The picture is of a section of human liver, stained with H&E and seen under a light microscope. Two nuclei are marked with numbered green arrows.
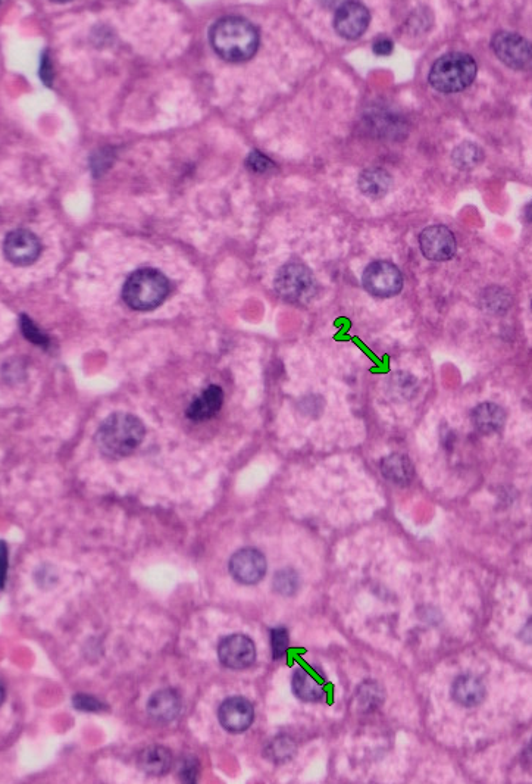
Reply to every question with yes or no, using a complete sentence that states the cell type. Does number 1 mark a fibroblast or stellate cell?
Yes, cell 1 is a fibroblast or stellate cell in this tissue section.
